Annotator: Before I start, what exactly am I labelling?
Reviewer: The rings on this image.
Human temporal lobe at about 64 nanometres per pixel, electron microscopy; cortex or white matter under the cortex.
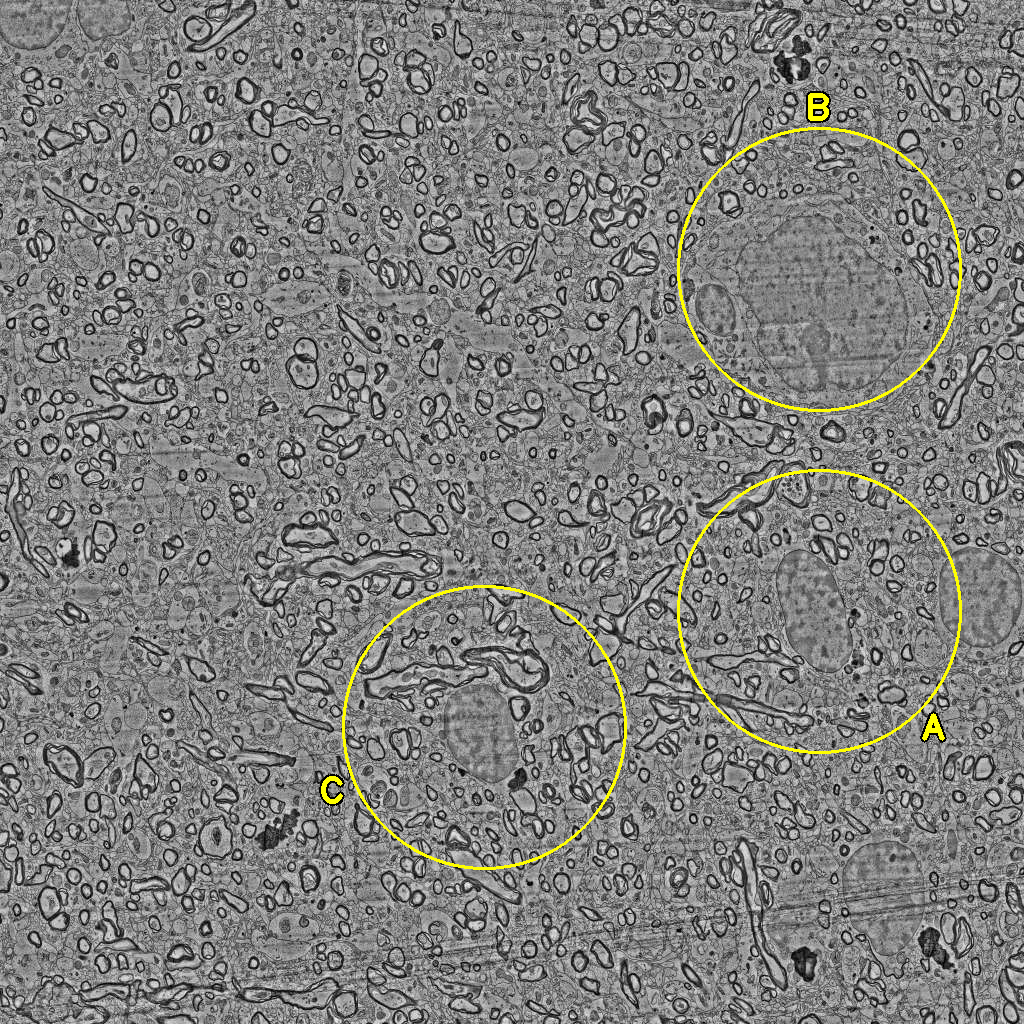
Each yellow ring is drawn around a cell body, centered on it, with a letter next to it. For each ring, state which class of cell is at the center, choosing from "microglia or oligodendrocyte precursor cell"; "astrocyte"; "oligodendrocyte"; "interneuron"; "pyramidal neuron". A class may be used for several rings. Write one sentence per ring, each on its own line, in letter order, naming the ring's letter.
At the center of ring A we have a microglial cell or oligodendrocyte precursor cell.
At the center of ring B we have an interneuron.
At the center of ring C we have an oligodendrocyte.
